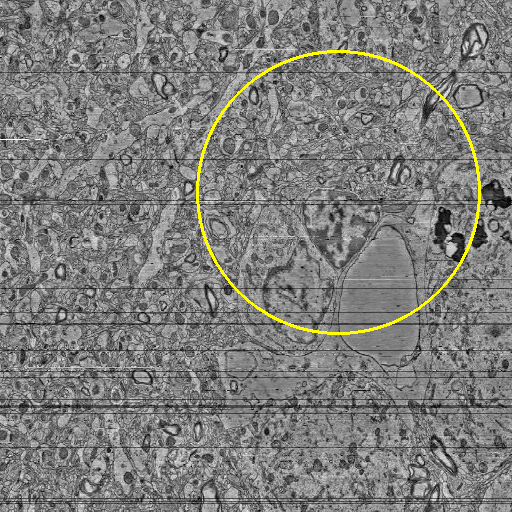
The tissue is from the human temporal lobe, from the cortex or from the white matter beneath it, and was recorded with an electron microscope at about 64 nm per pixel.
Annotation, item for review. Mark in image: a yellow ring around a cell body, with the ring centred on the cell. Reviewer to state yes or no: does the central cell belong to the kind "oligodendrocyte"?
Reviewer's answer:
no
